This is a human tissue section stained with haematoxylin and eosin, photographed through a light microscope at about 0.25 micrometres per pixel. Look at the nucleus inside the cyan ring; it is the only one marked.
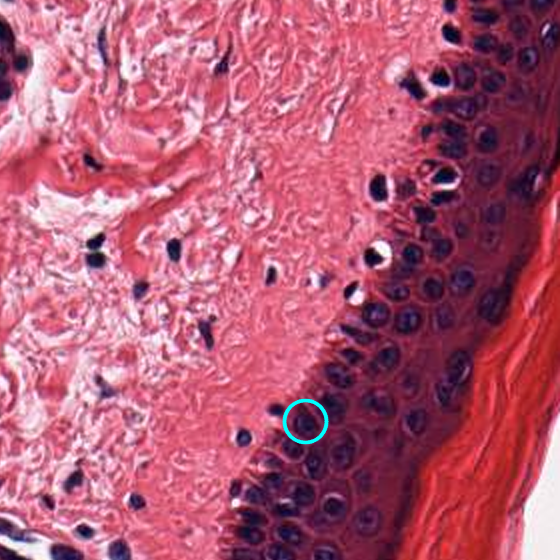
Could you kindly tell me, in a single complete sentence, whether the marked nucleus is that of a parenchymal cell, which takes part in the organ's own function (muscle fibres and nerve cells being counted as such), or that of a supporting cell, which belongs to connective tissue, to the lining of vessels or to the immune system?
In the image the marked nucleus is that of a keratinocyte, a parenchymal cell.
